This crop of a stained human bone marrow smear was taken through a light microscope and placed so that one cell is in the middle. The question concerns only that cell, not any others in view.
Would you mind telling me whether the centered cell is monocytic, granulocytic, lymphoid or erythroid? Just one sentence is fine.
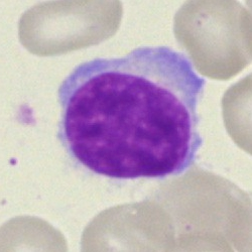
The middle cell of the crop belongs with the cells of the lymphoid lineage.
